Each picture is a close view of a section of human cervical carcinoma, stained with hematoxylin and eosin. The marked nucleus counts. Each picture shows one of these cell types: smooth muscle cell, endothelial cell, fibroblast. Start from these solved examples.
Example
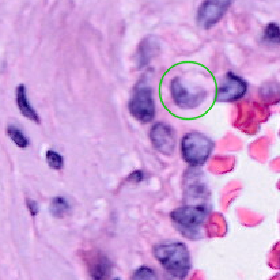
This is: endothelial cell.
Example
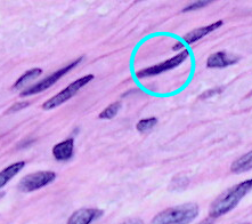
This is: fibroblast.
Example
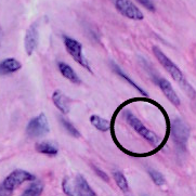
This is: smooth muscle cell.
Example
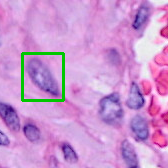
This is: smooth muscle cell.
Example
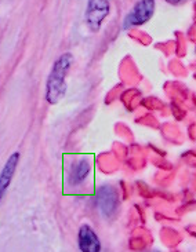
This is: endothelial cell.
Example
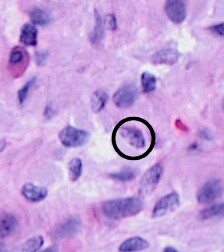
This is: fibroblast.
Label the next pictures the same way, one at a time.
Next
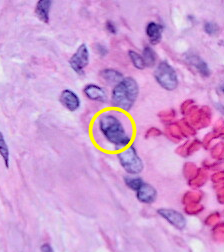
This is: endothelial cell.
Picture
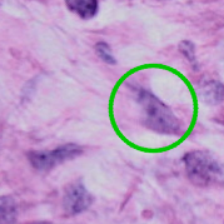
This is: fibroblast.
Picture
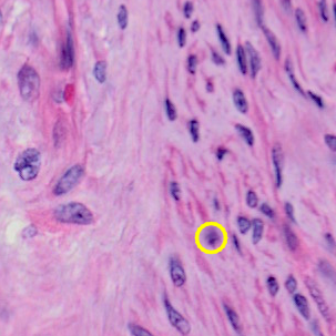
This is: smooth muscle cell.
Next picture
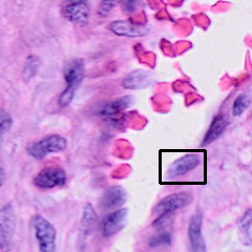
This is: endothelial cell.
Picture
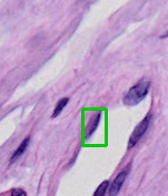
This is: endothelial cell.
